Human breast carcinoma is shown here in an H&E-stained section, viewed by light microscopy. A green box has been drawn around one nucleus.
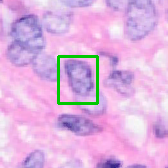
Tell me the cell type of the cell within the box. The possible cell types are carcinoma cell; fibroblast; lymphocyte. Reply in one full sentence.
The cell type represented by the cell within the box is that of a carcinoma cell.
